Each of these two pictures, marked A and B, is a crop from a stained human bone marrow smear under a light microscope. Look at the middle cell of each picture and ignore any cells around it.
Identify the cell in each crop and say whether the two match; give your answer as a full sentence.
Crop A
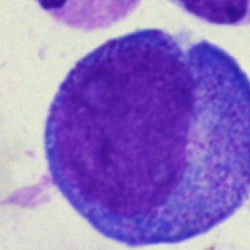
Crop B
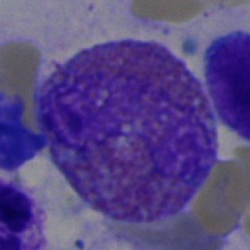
No, the cell shown in crop A is a promyelocyte, and the cell shown in crop B is an eosinophil.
